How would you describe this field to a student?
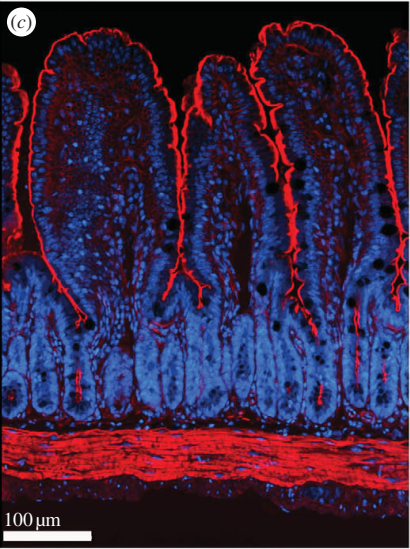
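Tall, finger-like villi with rounded tips rise toward the top, each covered by a single layer of epithelial cells whose free surface is traced by a bright red line, with blue nuclei crowded along the epithelium and in the cores. At their base, tubular crypts lined by closely set nuclei sit side by side above a thick band of red, fibrous muscle cells. This is the small intestinal wall with crypts at the base of villi above a muscle layer.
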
